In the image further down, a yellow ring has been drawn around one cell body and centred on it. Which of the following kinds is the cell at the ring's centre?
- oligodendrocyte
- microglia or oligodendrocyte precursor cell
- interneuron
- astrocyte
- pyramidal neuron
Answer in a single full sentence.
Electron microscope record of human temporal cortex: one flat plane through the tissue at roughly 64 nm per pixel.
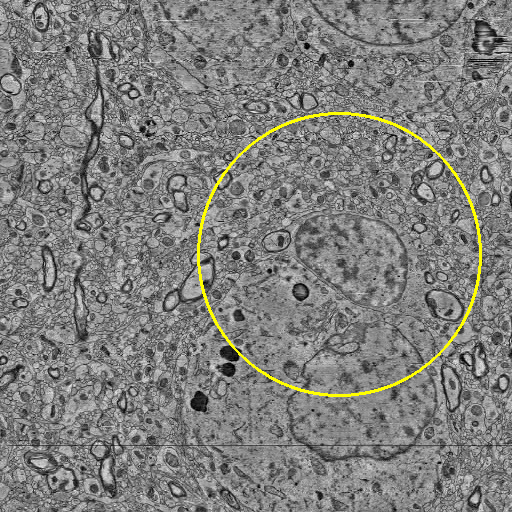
In the picture, the cell sitting at the centre of the yellow ring is an oligodendrocyte.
